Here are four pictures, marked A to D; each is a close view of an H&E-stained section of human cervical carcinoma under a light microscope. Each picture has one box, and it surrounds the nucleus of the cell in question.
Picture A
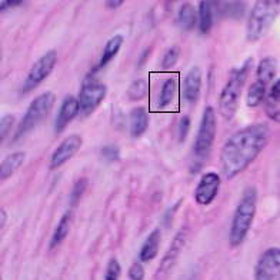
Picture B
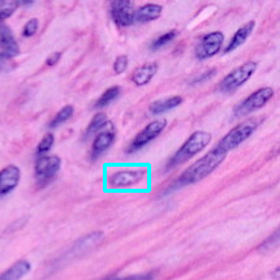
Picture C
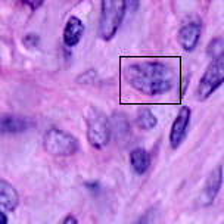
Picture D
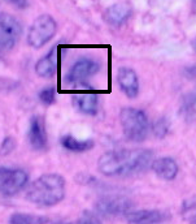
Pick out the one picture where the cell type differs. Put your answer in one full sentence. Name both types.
The others show smooth muscle cells, but picture D shows a squamous carcinoma cell.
